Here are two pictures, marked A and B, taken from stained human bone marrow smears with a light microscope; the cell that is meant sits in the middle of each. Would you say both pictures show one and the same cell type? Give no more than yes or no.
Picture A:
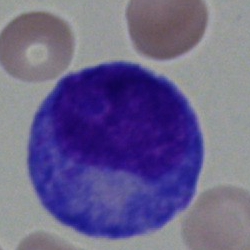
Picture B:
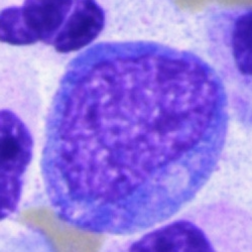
yes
